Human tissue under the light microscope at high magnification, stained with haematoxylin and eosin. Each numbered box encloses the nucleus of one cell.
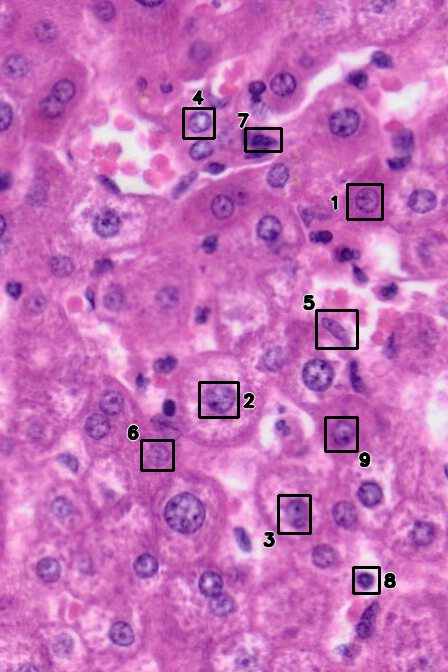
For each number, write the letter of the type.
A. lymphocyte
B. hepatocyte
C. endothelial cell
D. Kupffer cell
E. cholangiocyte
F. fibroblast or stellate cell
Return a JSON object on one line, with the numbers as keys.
{"1": "B", "2": "B", "3": "B", "4": "E", "5": "D", "6": "B", "7": "F", "8": "A", "9": "B"}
